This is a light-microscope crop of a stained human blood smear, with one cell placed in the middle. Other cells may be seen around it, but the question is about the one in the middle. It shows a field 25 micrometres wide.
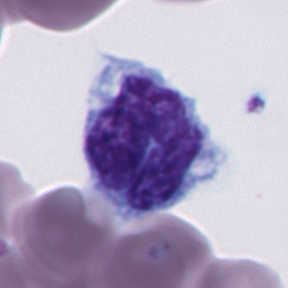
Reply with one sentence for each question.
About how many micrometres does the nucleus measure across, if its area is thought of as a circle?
The nucleus is about 10 micrometres across.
